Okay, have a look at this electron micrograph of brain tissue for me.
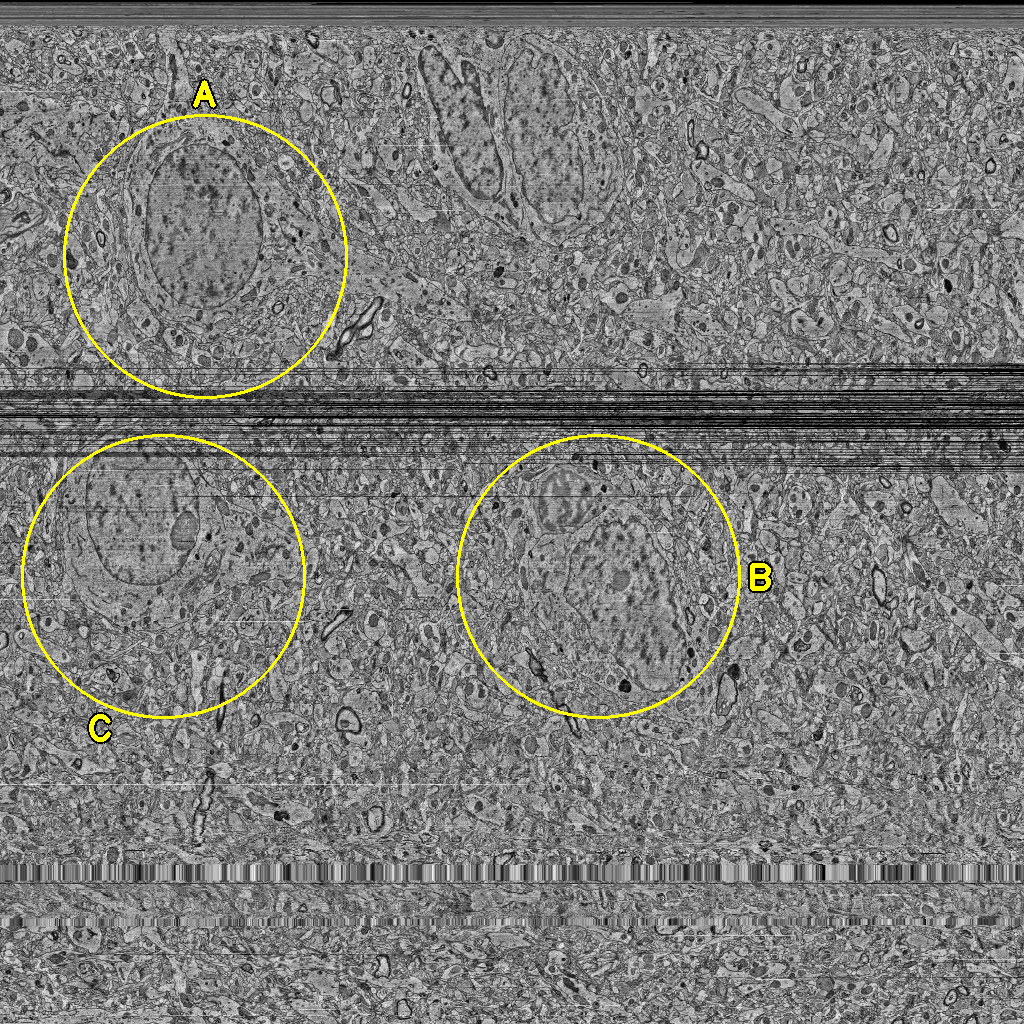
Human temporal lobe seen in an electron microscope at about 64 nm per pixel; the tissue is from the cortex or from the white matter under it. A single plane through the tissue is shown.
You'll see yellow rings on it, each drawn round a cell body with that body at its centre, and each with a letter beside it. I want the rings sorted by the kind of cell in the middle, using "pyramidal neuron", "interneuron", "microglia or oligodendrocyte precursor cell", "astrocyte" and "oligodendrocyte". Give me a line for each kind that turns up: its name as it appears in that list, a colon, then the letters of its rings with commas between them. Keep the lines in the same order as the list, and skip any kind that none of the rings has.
pyramidal neuron: A, C
interneuron: B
